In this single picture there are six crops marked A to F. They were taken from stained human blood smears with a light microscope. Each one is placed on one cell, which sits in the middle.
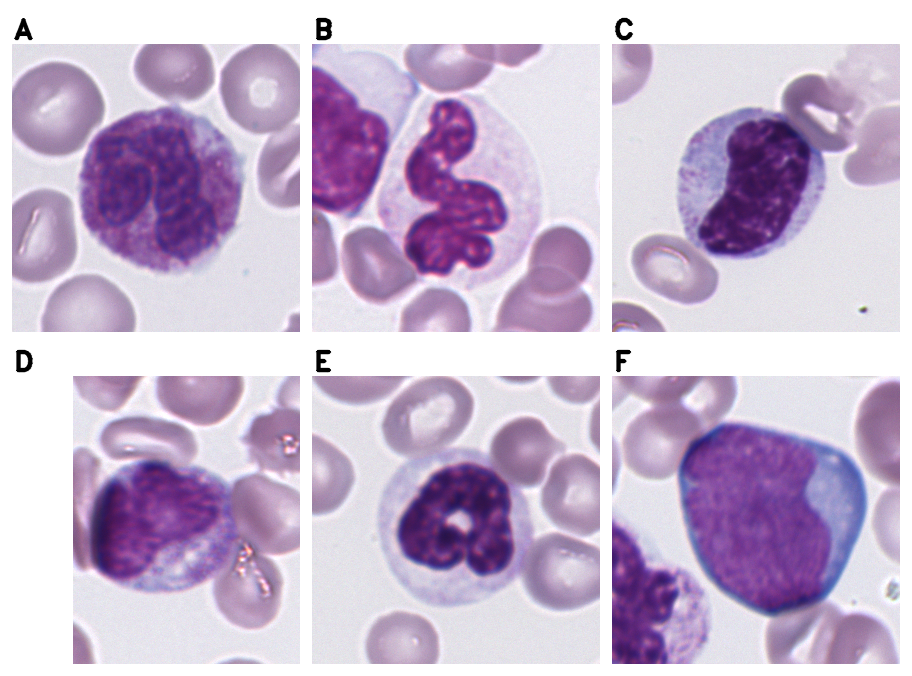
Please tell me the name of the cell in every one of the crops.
A: eosinophil
B: segmented neutrophil
C: metamyelocyte
D: metamyelocyte
E: band neutrophil
F: myeloblast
